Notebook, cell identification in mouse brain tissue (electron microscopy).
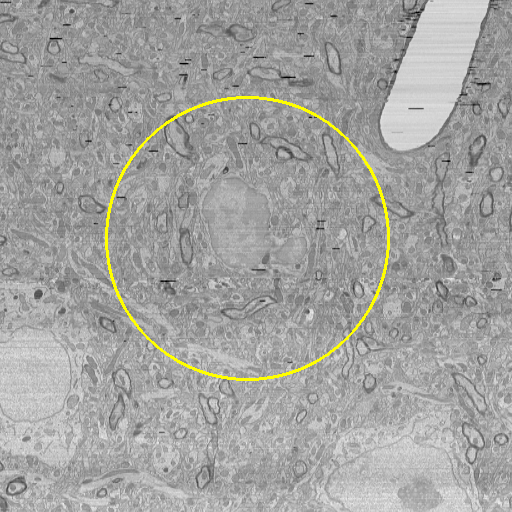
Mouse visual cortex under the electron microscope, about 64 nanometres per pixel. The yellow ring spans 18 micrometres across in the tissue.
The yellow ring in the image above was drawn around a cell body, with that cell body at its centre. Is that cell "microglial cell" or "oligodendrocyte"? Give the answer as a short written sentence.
The cell in the ring is a microglial cell.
